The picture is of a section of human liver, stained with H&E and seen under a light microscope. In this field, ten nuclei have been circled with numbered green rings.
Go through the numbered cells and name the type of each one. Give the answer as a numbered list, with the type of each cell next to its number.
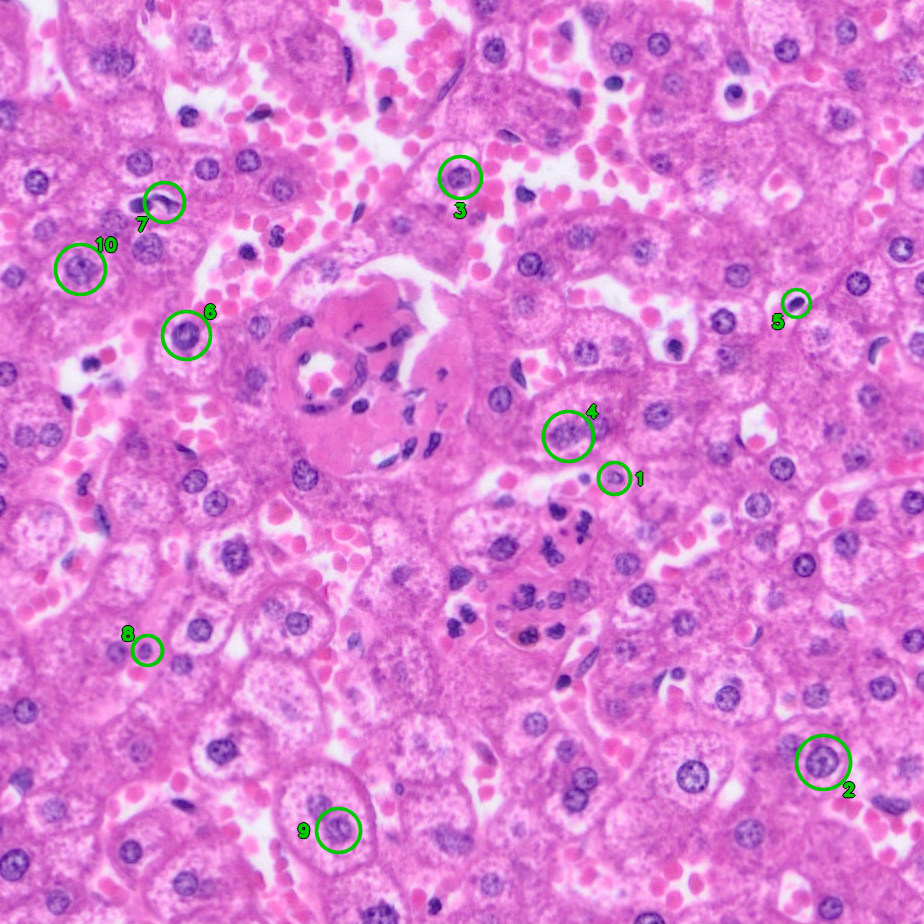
1. Kupffer cell
2. hepatocyte
3. hepatocyte
4. hepatocyte
5. lymphocyte
6. hepatocyte
7. endothelial cell
8. lymphocyte
9. hepatocyte
10. hepatocyte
